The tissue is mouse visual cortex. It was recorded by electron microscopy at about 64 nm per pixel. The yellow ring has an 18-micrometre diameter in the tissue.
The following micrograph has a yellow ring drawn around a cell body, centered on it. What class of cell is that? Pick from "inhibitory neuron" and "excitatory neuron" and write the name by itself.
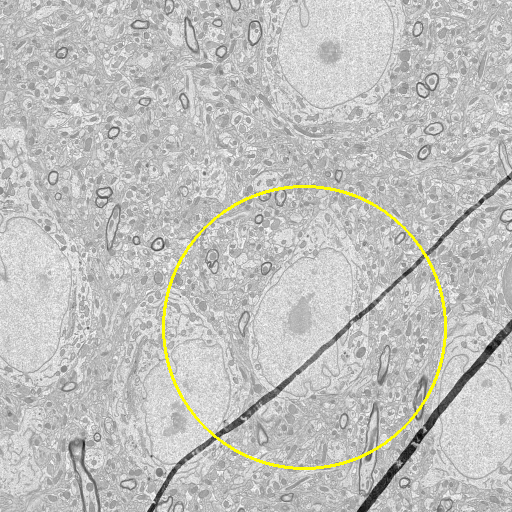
inhibitory neuron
